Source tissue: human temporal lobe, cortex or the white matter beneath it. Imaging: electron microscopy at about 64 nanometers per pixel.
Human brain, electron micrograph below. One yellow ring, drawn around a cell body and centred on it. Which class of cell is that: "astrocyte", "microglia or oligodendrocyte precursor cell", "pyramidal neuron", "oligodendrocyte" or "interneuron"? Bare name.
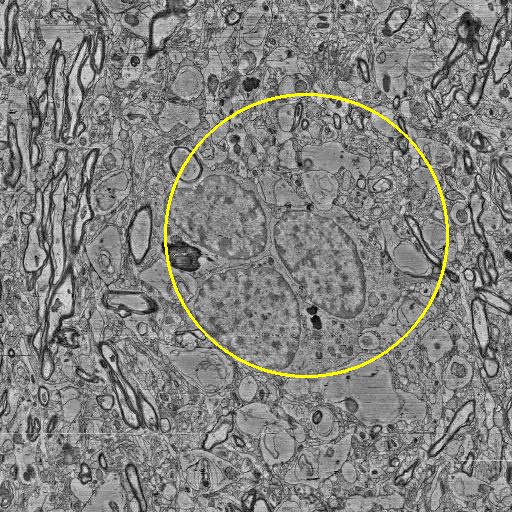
oligodendrocyte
